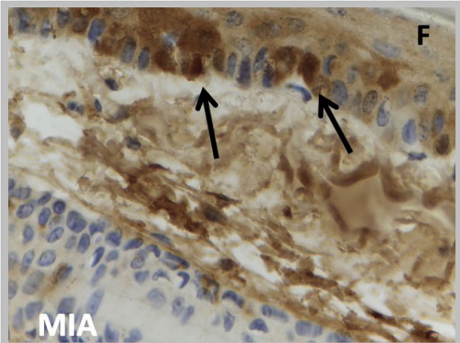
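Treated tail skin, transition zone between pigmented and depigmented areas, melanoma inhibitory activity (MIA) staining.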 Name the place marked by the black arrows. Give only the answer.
Epidermal compartment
